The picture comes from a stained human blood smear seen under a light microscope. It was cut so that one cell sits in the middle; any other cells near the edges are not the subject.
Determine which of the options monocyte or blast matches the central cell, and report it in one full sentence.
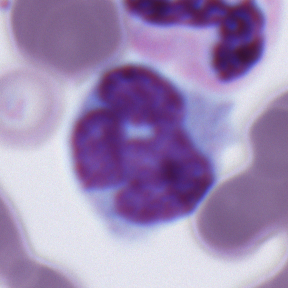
The cell centered in this field of view is a monocyte.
